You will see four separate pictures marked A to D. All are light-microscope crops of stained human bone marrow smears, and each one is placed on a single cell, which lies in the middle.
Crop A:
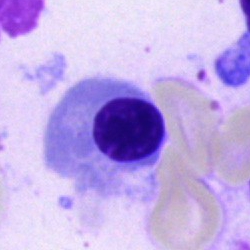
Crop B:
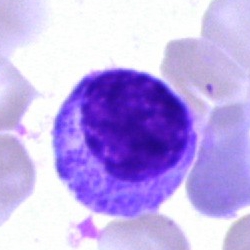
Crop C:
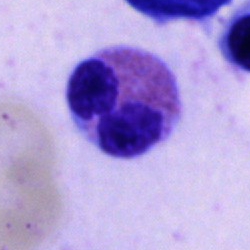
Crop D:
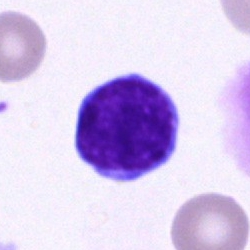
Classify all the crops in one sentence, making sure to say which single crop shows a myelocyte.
In crop B the cell shown is a myelocyte, and crop A is an erythroblast, crop C is an eosinophil and crop D is a lymphocyte.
